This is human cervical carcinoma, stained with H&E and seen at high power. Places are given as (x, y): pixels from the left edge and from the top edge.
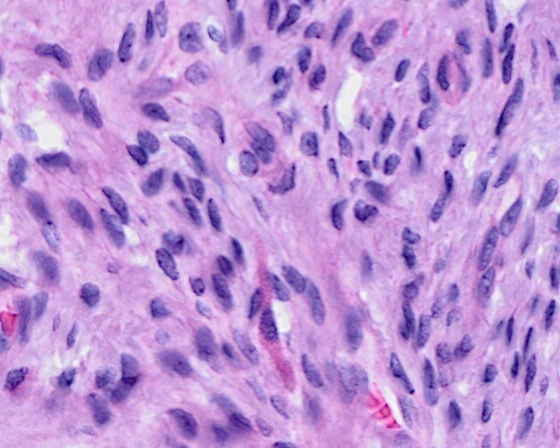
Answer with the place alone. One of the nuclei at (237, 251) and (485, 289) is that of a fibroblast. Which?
(237, 251)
